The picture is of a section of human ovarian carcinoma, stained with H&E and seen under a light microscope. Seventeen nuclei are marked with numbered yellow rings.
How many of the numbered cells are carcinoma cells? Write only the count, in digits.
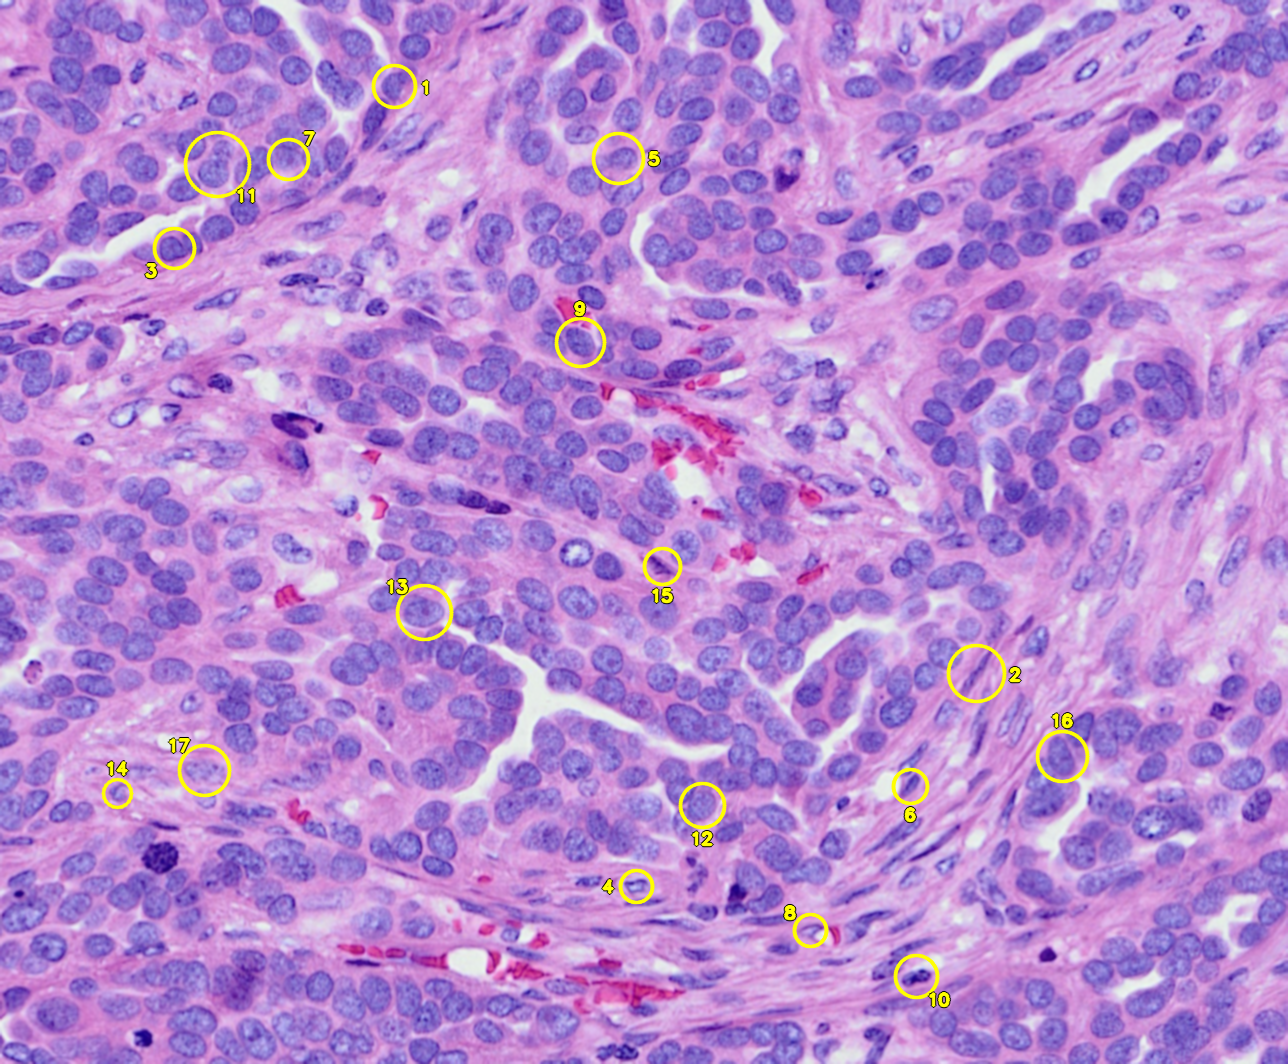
9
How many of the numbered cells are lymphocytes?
1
